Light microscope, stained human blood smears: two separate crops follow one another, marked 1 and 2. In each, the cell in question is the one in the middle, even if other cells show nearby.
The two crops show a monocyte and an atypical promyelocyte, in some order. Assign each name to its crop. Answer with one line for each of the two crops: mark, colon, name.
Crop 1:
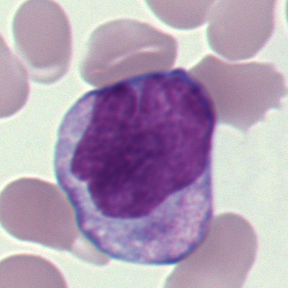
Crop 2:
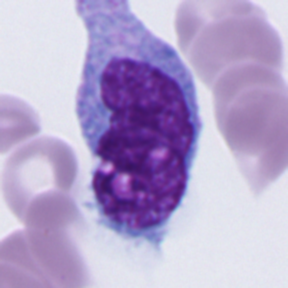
1: atypical promyelocyte
2: monocyte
